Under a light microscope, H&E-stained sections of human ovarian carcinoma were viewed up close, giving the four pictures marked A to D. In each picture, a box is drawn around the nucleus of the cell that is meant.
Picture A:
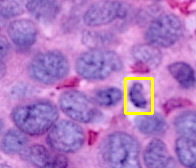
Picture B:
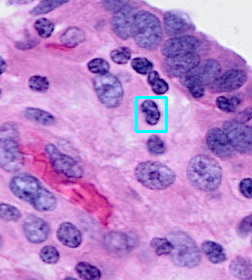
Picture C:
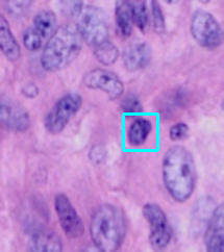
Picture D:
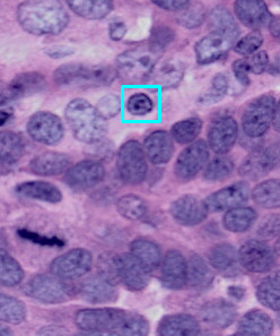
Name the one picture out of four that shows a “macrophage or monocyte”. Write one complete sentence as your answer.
The “macrophage or monocyte” is the one in picture A.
